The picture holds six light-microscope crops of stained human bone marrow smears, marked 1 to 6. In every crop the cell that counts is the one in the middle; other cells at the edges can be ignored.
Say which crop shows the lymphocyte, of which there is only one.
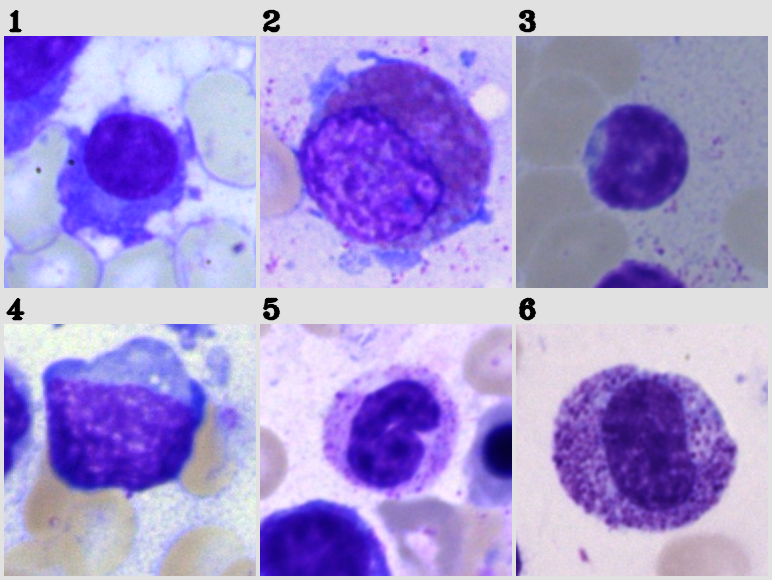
3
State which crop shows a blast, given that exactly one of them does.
4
